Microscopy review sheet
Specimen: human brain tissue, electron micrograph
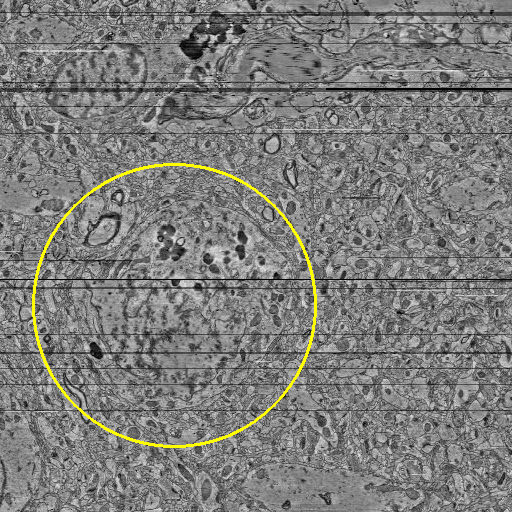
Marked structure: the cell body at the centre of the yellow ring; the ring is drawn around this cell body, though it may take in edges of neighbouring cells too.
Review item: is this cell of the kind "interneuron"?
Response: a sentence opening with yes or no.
Yes, this cell is of that kind.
